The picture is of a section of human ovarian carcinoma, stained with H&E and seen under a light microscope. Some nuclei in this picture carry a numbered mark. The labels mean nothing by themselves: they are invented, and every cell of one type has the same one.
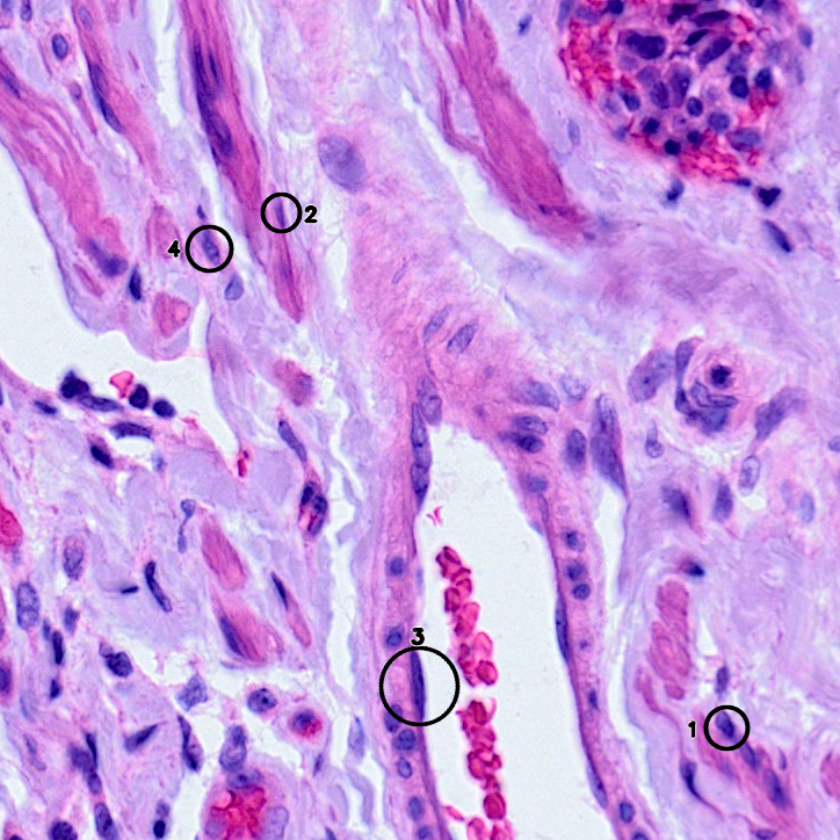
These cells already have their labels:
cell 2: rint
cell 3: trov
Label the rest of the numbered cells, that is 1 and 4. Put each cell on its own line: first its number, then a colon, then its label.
1: rint
4: trov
